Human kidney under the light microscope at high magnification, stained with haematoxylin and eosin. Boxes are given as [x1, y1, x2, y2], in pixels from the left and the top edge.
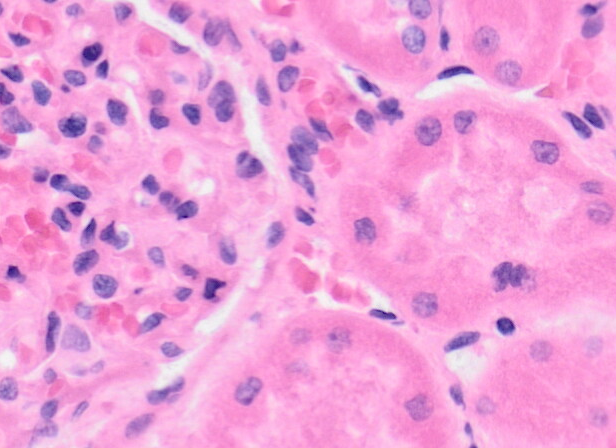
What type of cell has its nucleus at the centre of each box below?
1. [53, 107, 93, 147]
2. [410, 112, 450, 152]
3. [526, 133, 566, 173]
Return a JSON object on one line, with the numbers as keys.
{"1": "endothelial cell", "2": "proximal tubule cell", "3": "proximal tubule cell"}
